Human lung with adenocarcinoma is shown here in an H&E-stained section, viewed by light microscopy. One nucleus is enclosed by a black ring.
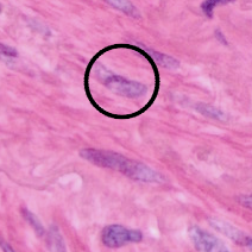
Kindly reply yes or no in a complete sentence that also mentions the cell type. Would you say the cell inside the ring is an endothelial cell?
No, the cell inside the ring represents a smooth muscle cell or pericyte and does not represent an endothelial cell.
